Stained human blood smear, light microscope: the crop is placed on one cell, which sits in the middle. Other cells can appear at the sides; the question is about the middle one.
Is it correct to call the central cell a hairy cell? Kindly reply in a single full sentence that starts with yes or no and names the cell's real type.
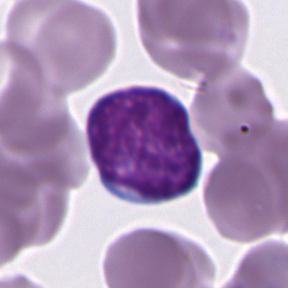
No, looking at the central cell, it is a typical lymphocyte rather than a hairy cell.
